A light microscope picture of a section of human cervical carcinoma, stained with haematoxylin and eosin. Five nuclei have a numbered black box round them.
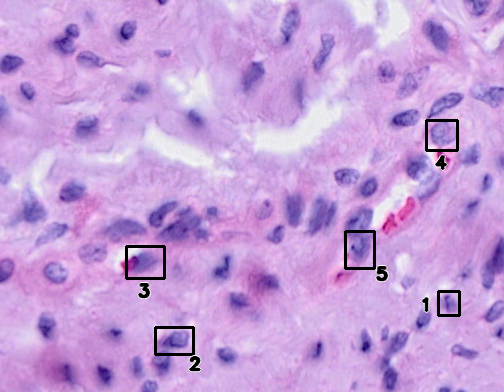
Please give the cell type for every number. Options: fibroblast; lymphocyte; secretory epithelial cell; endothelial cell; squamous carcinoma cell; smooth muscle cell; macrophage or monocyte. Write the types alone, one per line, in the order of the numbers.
fibroblast
fibroblast
endothelial cell
endothelial cell
endothelial cell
